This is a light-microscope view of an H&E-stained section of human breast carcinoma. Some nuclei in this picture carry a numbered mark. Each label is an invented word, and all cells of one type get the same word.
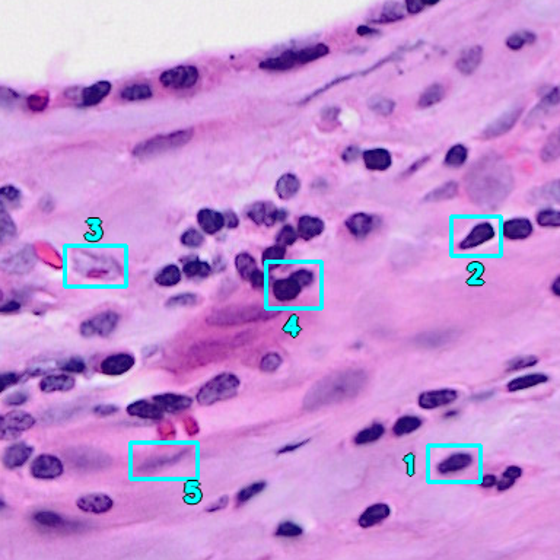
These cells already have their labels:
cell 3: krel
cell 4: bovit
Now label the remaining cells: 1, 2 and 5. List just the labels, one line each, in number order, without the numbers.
bovit
bovit
krel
